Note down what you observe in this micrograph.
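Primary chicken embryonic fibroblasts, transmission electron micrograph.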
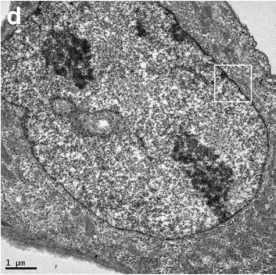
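An oval nucleus occupies most of this cell, outlined by a thin dark nuclear envelope. The nucleoplasm is granular, with darker patches of chromatin. Two dense, dark, clumped bodies lie within it, one at the upper left and one lower right. A few small rounded profiles sit inside the nucleus near its middle. A narrow band of cytoplasm surrounds the nucleus, and a white box marks a region of the envelope at the right.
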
